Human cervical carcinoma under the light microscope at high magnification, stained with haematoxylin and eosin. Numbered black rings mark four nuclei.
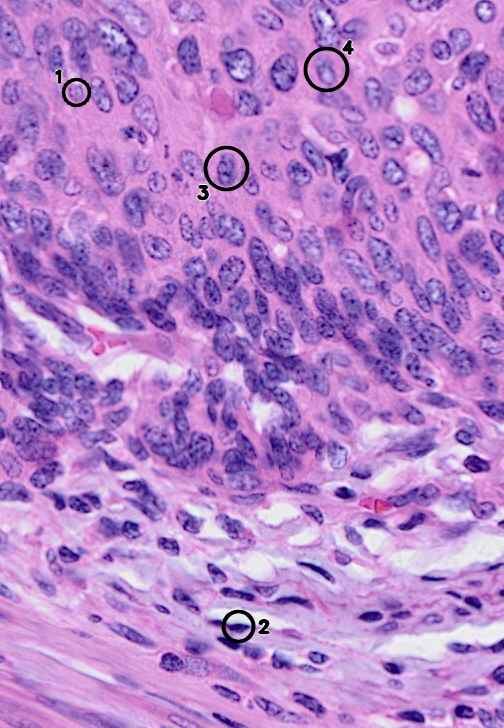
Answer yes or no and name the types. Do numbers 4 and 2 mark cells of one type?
No, cell 4 is a squamous carcinoma cell, and cell 2, on the other hand, is a lymphocyte.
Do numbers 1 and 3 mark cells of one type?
Yes, cell 1 is among the squamous carcinoma cells, and cell 3 is as well.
